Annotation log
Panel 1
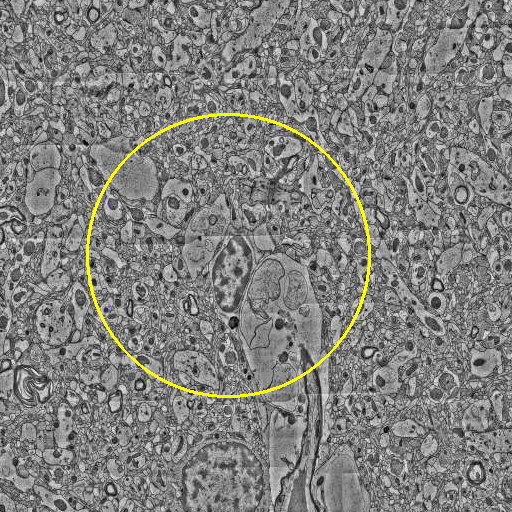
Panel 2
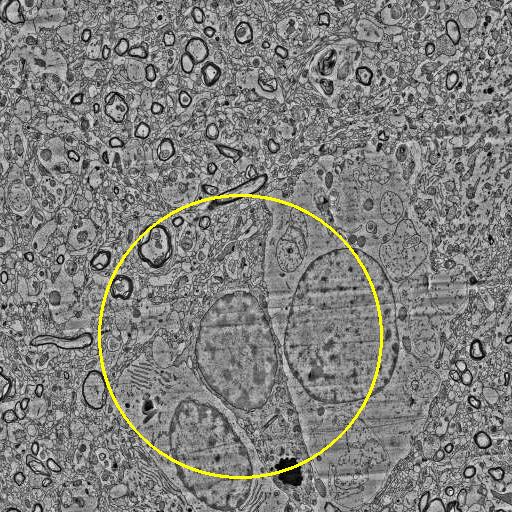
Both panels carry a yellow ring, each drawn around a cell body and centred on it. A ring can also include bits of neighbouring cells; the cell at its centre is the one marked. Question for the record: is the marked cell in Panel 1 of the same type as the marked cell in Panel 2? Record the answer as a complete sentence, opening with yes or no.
No, the marked cells in Panel 1 and Panel 2 are of two types.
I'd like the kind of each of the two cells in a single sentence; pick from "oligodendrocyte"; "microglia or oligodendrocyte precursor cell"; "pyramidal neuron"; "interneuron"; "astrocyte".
The first ring marks a microglial cell or oligodendrocyte precursor cell, and the second ring marks an oligodendrocyte.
